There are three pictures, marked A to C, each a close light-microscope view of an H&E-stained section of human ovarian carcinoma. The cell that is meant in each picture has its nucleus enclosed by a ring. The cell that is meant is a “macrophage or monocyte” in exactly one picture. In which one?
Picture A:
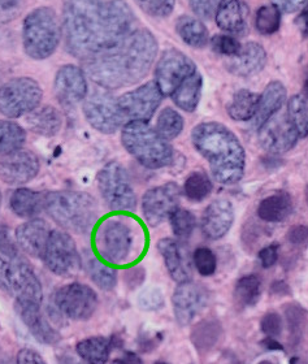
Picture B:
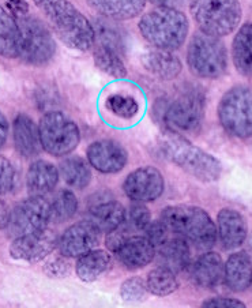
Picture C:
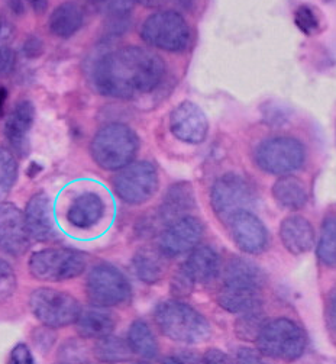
C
